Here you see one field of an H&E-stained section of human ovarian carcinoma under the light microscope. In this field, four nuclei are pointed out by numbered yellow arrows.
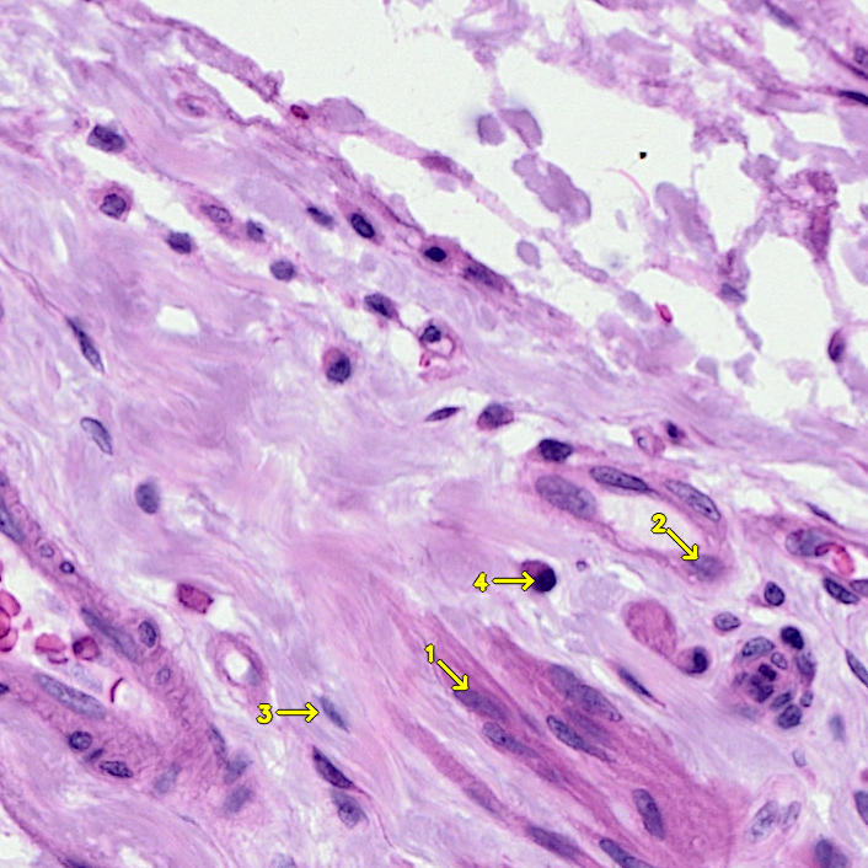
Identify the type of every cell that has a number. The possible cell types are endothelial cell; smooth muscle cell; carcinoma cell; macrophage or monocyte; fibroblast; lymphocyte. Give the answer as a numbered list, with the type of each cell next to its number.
1. smooth muscle cell
2. endothelial cell
3. fibroblast
4. lymphocyte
